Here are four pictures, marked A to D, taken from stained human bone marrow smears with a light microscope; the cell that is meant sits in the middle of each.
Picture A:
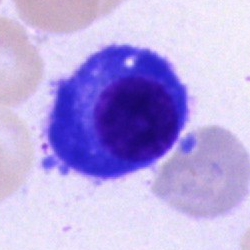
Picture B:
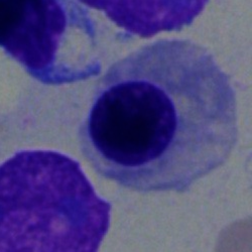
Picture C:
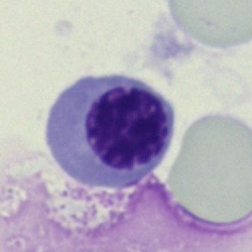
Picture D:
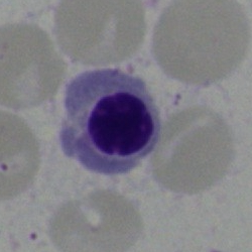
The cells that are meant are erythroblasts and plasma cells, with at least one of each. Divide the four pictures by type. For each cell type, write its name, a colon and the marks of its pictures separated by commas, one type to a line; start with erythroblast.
erythroblast: B, C, D
plasma cell: A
